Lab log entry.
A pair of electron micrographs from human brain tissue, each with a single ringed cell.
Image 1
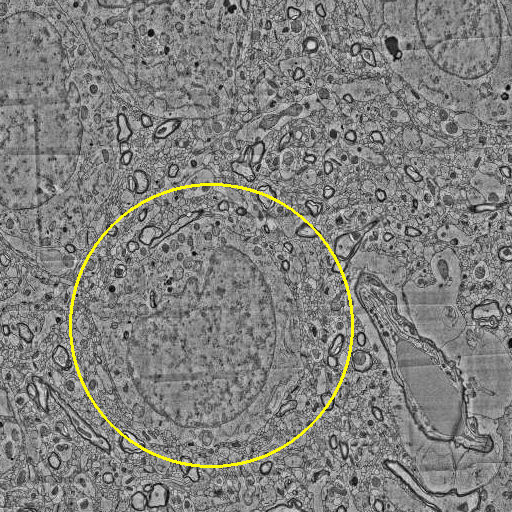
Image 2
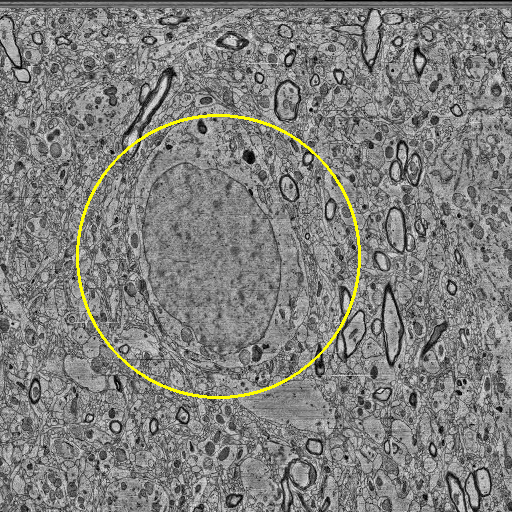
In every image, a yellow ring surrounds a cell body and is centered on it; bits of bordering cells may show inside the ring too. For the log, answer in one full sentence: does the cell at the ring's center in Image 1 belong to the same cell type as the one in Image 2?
No, the cells at the ring centers in Image 1 and Image 2 are of separate types.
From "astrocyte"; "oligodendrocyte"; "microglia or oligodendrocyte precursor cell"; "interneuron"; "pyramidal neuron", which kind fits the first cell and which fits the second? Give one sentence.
The cell marked in the first picture is an interneuron, and the one marked in the second is a pyramidal neuron.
